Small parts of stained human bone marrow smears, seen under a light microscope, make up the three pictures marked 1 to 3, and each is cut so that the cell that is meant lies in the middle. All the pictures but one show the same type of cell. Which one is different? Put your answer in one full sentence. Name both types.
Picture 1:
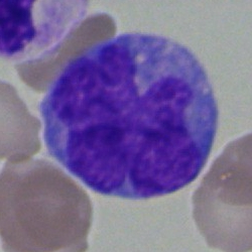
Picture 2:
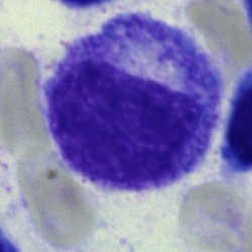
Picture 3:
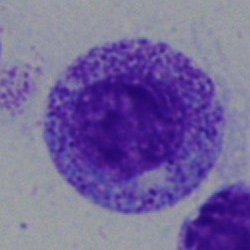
Picture 1 differs, because its cell is a monocyte and the rest are myelocytes.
